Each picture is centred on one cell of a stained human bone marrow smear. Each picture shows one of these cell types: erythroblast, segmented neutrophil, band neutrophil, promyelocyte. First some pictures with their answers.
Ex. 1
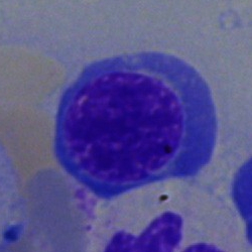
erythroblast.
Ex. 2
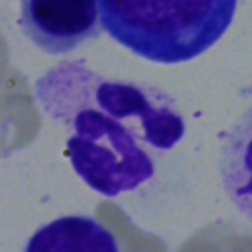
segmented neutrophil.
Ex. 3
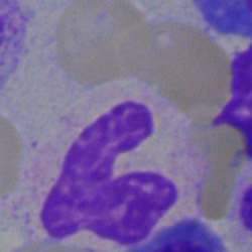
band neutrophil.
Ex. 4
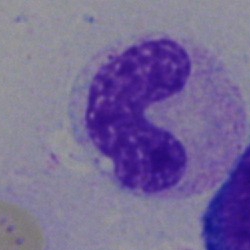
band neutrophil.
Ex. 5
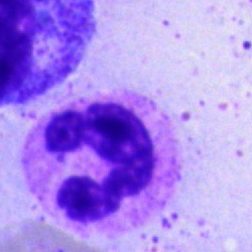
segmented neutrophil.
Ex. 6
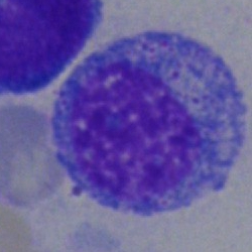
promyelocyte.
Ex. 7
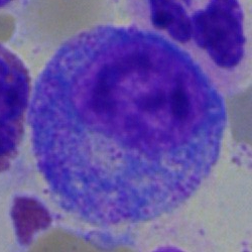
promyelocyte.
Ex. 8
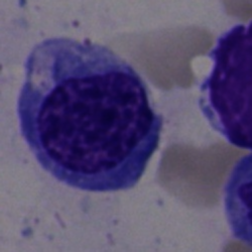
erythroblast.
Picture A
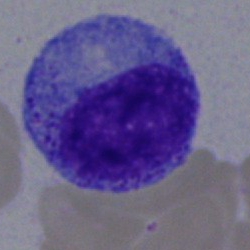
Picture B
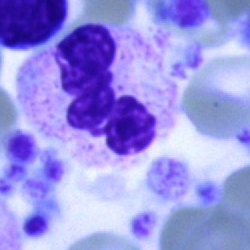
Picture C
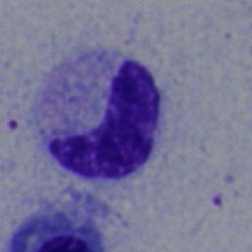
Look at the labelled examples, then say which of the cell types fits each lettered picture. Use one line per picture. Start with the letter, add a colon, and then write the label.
A: promyelocyte.
B: segmented neutrophil.
C: band neutrophil.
